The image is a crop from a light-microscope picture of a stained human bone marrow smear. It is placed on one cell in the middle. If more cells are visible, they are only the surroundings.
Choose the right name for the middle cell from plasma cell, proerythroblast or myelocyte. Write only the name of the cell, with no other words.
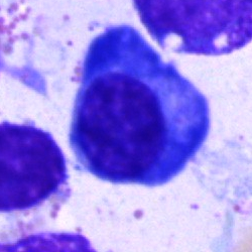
plasma cell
